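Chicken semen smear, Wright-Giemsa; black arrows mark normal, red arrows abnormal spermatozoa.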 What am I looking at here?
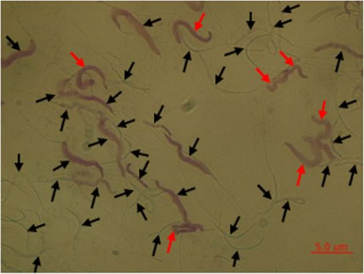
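Most cells have a long, slender, gently curved head stained purple. From each head a long, very thin, pale tail extends across the field, so that tails cross one another in places. A few heads are bent sharply or folded back on themselves instead of being straight.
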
